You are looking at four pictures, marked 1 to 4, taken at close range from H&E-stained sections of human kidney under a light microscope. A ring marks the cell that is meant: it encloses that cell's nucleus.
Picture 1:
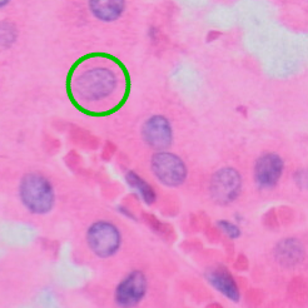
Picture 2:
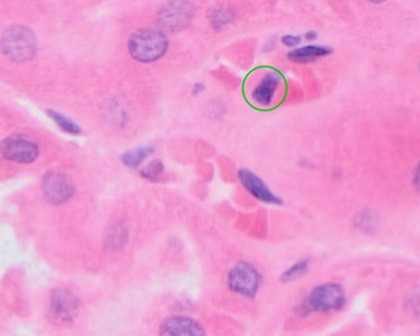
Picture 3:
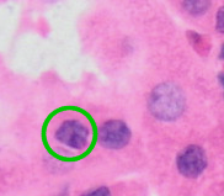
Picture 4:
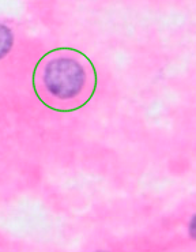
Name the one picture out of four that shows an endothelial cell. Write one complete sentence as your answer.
The cell in picture 2 is the endothelial cell.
